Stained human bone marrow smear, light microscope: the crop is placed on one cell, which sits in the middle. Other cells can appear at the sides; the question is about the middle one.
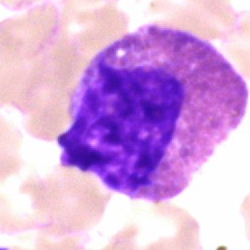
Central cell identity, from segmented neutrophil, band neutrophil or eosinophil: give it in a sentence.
The cell positioned in the middle of the field is an eosinophil.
